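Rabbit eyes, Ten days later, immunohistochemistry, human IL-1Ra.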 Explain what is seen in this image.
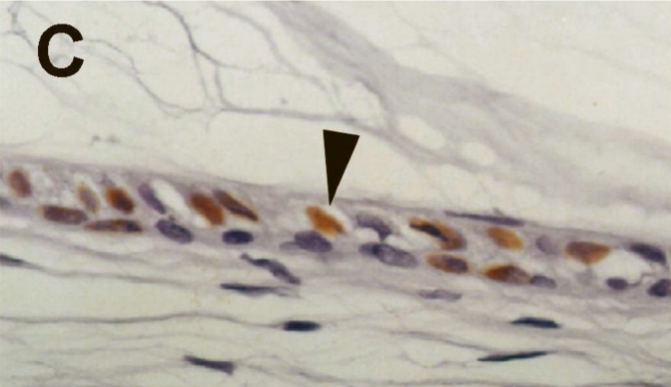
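Ciliary epithelium seen as a thin double layer of cuboidal cells. Many oval nuclei in the epithelium are stained brown, others are blue-purple. The cells have scant pale cytoplasm, with a few clear spaces between them. Beneath lies loose fibrous connective tissue with scattered elongated dark nuclei. Above the epithelium run fine pale fibrils.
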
